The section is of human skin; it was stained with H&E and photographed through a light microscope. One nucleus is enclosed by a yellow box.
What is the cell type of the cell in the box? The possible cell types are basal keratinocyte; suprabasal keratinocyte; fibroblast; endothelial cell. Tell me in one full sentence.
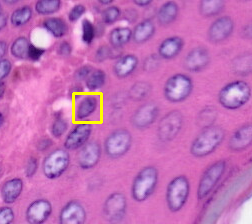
In this tissue sample, the cell in the box is a basal keratinocyte.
